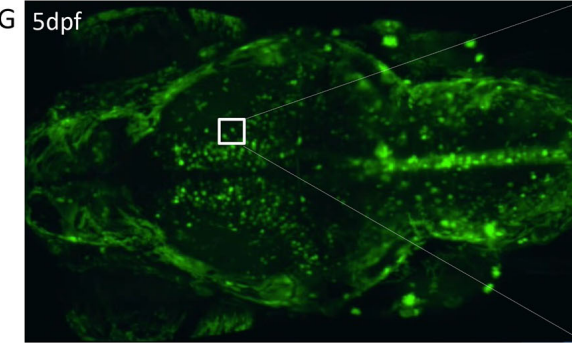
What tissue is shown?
Brain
